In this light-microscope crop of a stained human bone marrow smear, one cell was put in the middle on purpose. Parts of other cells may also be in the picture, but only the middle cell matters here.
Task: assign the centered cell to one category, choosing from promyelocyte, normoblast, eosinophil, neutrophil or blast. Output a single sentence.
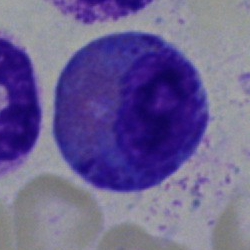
The middle of this crop is occupied by an eosinophil.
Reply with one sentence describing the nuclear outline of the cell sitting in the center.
The nucleus is one compact mass, round, oval or kidney-shaped in outline.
